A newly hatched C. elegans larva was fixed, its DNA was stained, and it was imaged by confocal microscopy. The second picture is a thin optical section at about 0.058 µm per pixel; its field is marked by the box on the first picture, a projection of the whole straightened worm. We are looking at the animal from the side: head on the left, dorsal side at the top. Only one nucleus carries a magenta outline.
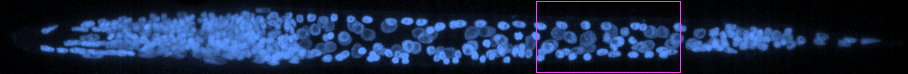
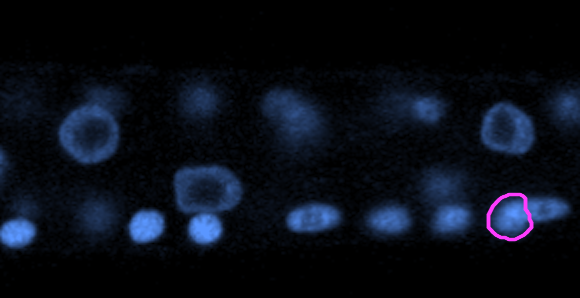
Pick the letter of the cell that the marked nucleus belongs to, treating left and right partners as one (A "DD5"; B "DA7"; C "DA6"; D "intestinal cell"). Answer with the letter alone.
B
